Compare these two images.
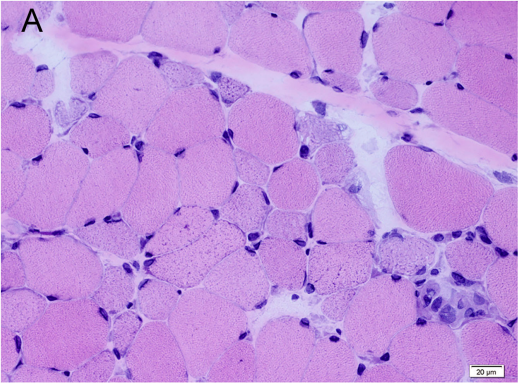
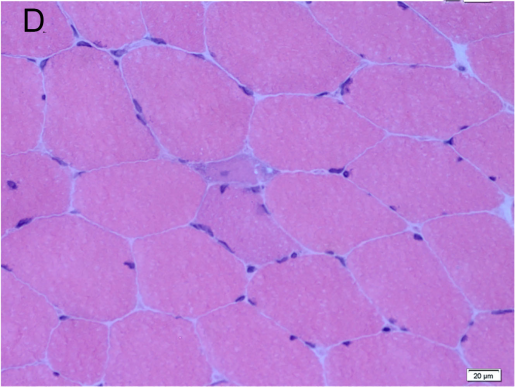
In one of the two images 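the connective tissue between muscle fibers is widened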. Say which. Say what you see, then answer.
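The first image. Second image: fibers lie closely packed with thin spaces between them. First image: a broad pale pink band and widened spaces separate fiber groups.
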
